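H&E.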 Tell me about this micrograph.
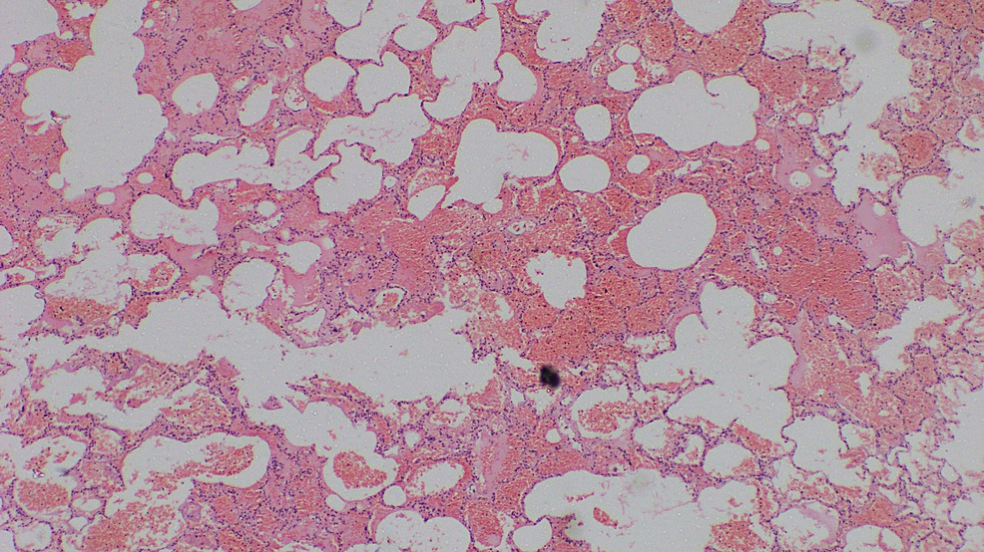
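This is lung parenchyma with alveolar spaces of varied size, many of them filled with red blood cells. Some spaces are empty and round, others are large and irregular. Many are packed with orange-red blood cells, and some hold homogeneous pale pink material. The thin septa between the spaces carry scattered small purple nuclei, and in places the lining of the spaces looks disrupted and indistinct.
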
